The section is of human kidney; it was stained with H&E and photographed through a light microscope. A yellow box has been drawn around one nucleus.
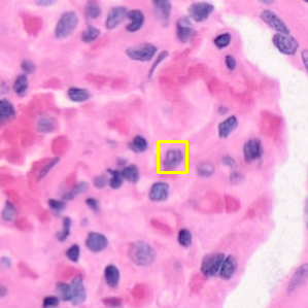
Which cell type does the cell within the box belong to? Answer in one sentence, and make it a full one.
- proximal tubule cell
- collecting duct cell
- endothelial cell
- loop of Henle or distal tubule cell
In the context of this tissue, the cell within the box is an endothelial cell.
